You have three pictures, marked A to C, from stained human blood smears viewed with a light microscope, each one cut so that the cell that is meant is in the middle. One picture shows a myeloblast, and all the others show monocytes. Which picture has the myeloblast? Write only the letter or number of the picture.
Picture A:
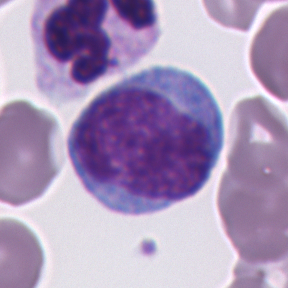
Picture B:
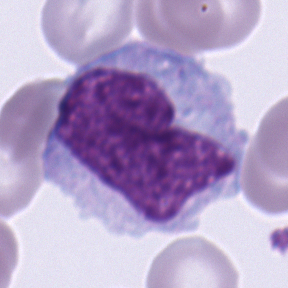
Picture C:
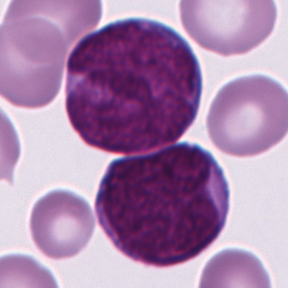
C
